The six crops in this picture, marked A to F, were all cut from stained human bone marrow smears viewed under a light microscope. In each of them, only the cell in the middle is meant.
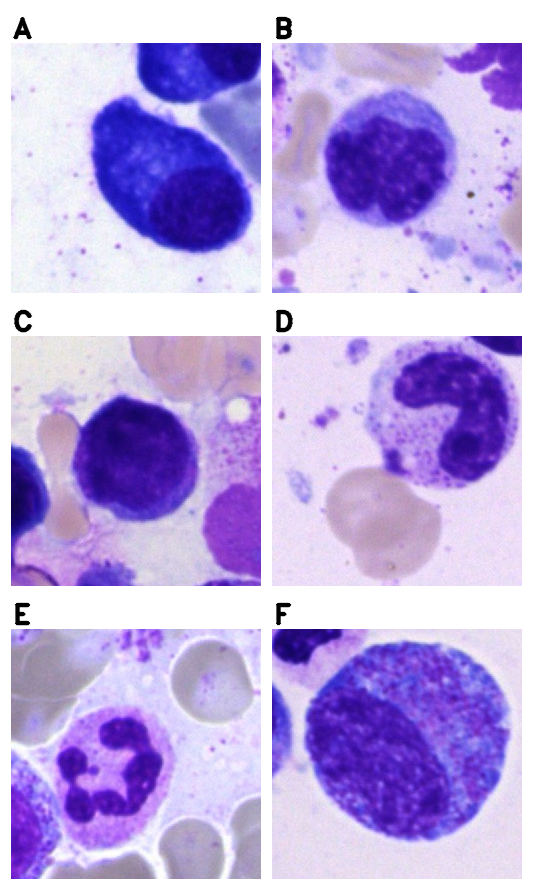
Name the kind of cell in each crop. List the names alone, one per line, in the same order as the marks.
plasma cell
monocyte
blast
band neutrophil
segmented neutrophil
promyelocyte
